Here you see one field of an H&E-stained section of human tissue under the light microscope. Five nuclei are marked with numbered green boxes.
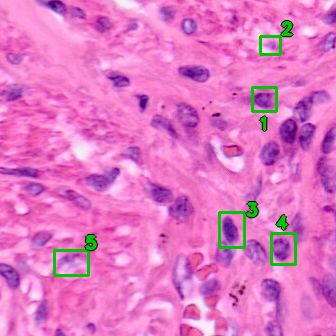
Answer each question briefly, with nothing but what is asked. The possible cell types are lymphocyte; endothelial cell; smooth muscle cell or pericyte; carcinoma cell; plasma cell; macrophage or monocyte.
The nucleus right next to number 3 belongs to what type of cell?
endothelial cell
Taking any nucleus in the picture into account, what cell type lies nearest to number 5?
smooth muscle cell or pericyte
